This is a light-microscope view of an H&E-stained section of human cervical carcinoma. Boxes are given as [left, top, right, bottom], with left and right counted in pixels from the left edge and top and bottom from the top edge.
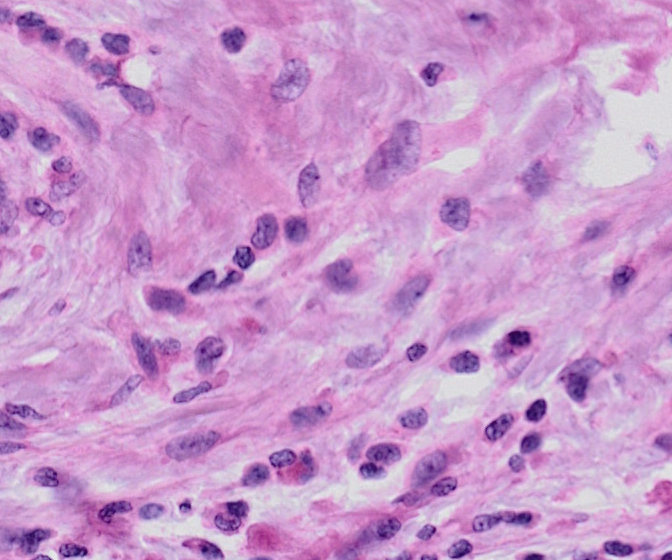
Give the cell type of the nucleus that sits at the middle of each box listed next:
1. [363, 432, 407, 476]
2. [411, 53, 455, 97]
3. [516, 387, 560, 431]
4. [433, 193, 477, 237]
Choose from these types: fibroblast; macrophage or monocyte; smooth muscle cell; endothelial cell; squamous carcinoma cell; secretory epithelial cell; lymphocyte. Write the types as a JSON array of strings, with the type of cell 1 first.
["macrophage or monocyte", "macrophage or monocyte", "lymphocyte", "macrophage or monocyte"]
